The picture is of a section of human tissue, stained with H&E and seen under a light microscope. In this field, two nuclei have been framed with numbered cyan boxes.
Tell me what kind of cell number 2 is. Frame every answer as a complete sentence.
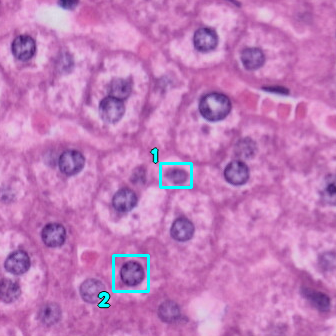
In this section, the cell tagged 2 is a hepatocyte.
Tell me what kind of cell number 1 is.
Number 1 is placed on a Kupffer cell here.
